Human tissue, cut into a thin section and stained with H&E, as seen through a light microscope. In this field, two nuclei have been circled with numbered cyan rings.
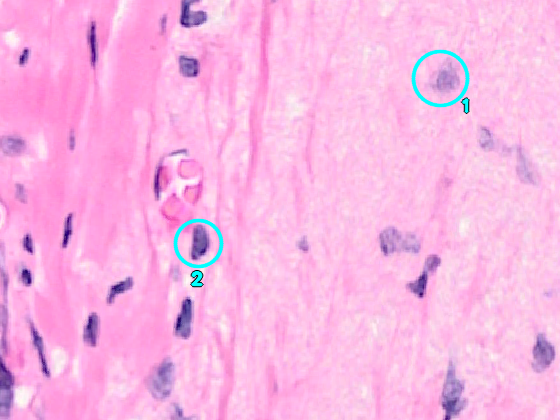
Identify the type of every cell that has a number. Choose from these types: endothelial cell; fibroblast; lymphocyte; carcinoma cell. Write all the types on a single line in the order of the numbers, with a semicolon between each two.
fibroblast; lymphocyte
